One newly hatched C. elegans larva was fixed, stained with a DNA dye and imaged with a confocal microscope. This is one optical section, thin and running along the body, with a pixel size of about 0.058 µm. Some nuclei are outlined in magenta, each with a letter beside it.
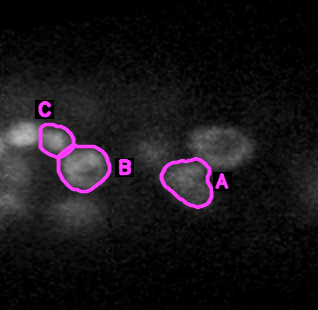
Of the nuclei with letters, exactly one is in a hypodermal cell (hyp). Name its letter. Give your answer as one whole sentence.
A is the nucleus of a hypodermal cell (hyp).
